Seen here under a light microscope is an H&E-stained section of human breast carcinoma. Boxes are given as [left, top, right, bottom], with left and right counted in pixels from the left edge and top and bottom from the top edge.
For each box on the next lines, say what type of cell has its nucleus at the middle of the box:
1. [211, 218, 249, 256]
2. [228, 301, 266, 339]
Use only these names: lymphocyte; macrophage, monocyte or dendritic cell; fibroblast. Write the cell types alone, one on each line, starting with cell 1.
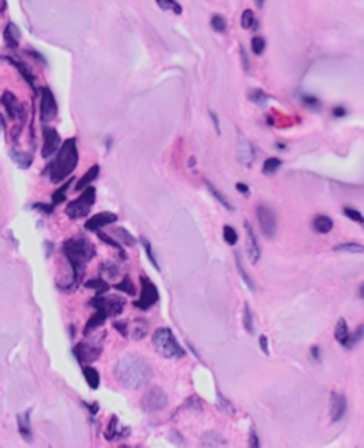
lymphocyte
fibroblast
